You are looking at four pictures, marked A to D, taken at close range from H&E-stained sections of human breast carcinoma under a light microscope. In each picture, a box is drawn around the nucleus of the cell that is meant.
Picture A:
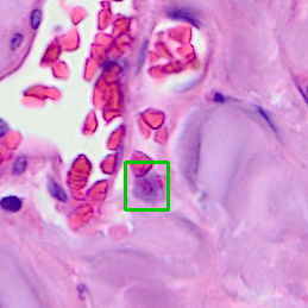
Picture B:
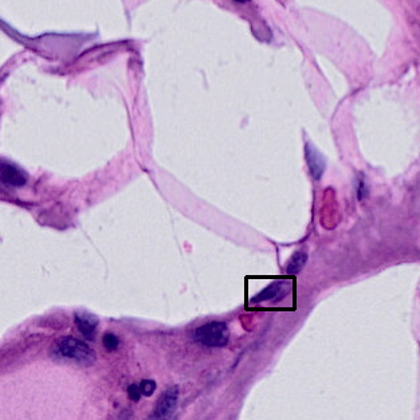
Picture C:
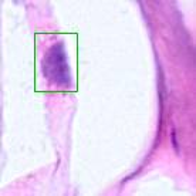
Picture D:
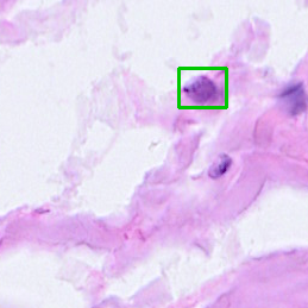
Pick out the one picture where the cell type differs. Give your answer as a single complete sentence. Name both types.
The others show endothelial cells, but picture D shows a fibroblast.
